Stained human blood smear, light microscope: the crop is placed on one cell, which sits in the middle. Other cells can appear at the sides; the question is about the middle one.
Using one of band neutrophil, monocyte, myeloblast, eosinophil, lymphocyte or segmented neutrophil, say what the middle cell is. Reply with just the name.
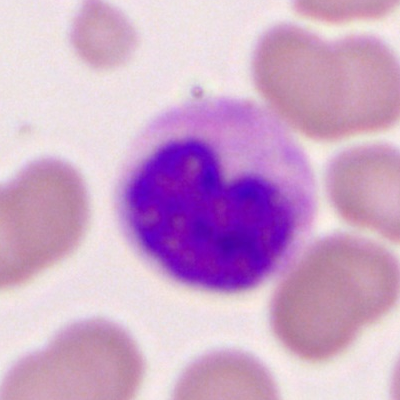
band neutrophil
